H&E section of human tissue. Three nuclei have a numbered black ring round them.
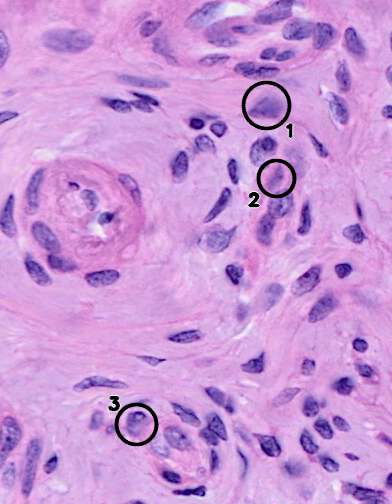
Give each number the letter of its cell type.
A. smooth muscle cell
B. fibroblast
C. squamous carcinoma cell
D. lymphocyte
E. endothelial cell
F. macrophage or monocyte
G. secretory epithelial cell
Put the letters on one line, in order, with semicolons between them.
B; E; E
